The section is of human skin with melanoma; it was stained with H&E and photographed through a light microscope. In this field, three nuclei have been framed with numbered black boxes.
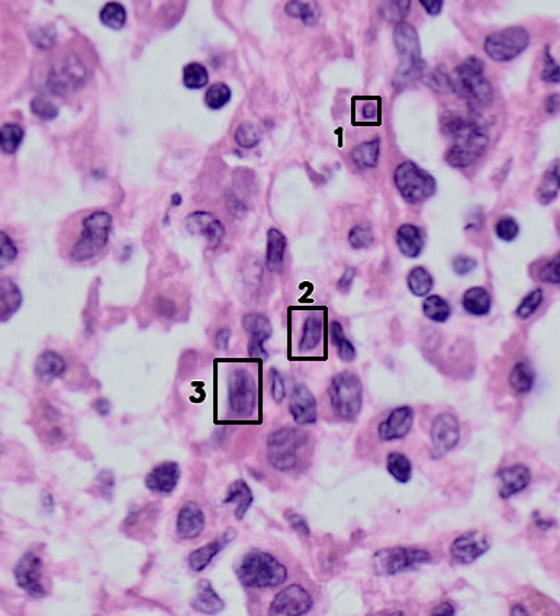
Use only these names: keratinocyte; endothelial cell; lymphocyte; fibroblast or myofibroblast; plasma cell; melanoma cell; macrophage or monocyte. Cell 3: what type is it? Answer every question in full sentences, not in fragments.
The numeral 3 marks a melanoma cell in this section.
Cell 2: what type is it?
Regarding cell 2, this one is a macrophage or monocyte.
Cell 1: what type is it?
Among the marked nuclei, number 1 belongs to a macrophage or monocyte.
